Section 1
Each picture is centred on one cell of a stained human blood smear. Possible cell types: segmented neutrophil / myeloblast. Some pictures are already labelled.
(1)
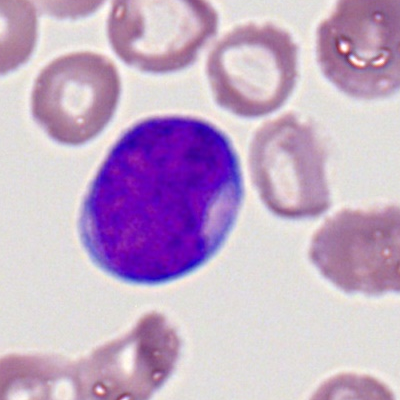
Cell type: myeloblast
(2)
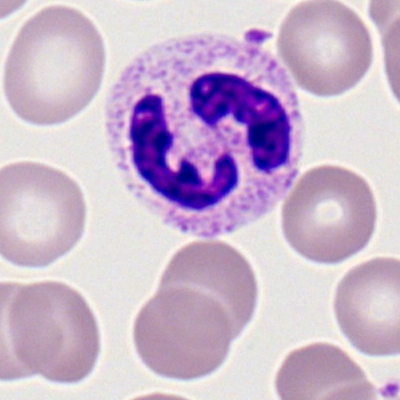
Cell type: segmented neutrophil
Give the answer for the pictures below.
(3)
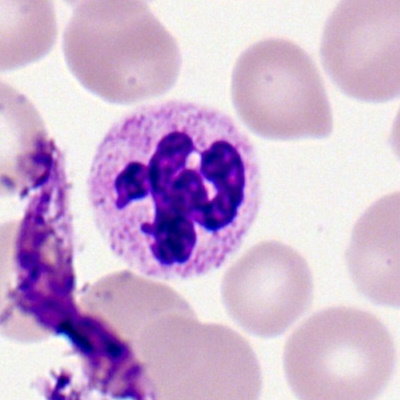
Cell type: segmented neutrophil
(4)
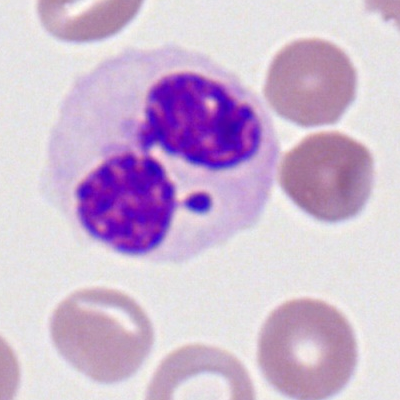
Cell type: segmented neutrophil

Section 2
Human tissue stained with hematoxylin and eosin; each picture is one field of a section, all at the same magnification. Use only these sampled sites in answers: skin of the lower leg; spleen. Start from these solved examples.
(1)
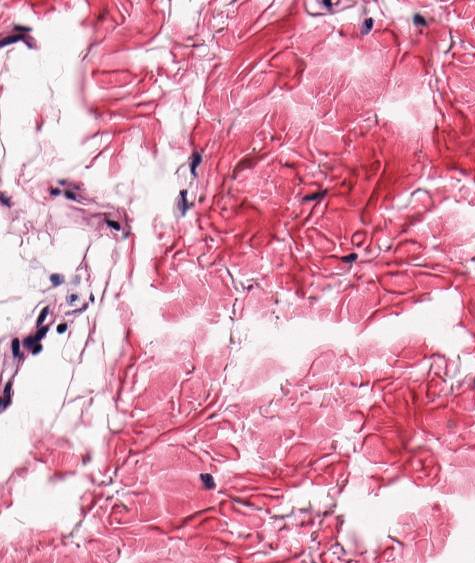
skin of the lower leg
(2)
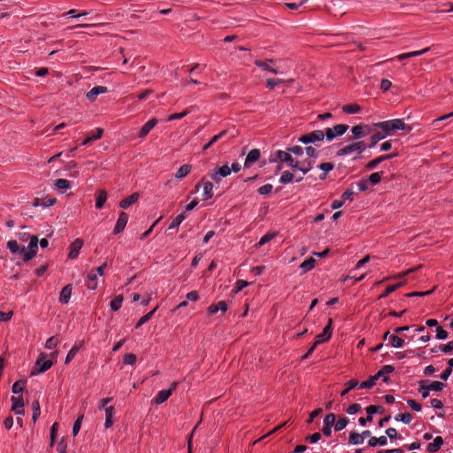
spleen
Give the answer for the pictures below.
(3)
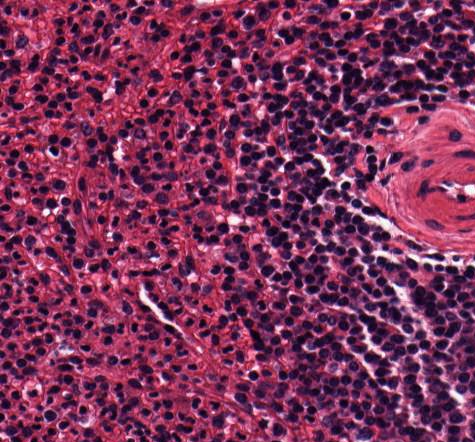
spleen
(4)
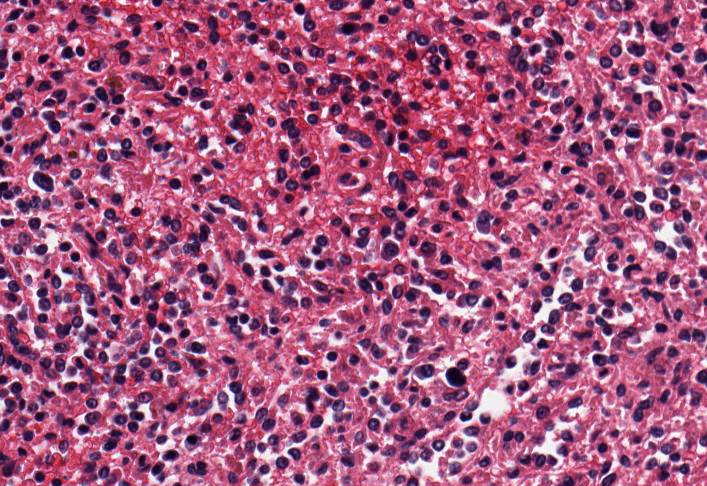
spleen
